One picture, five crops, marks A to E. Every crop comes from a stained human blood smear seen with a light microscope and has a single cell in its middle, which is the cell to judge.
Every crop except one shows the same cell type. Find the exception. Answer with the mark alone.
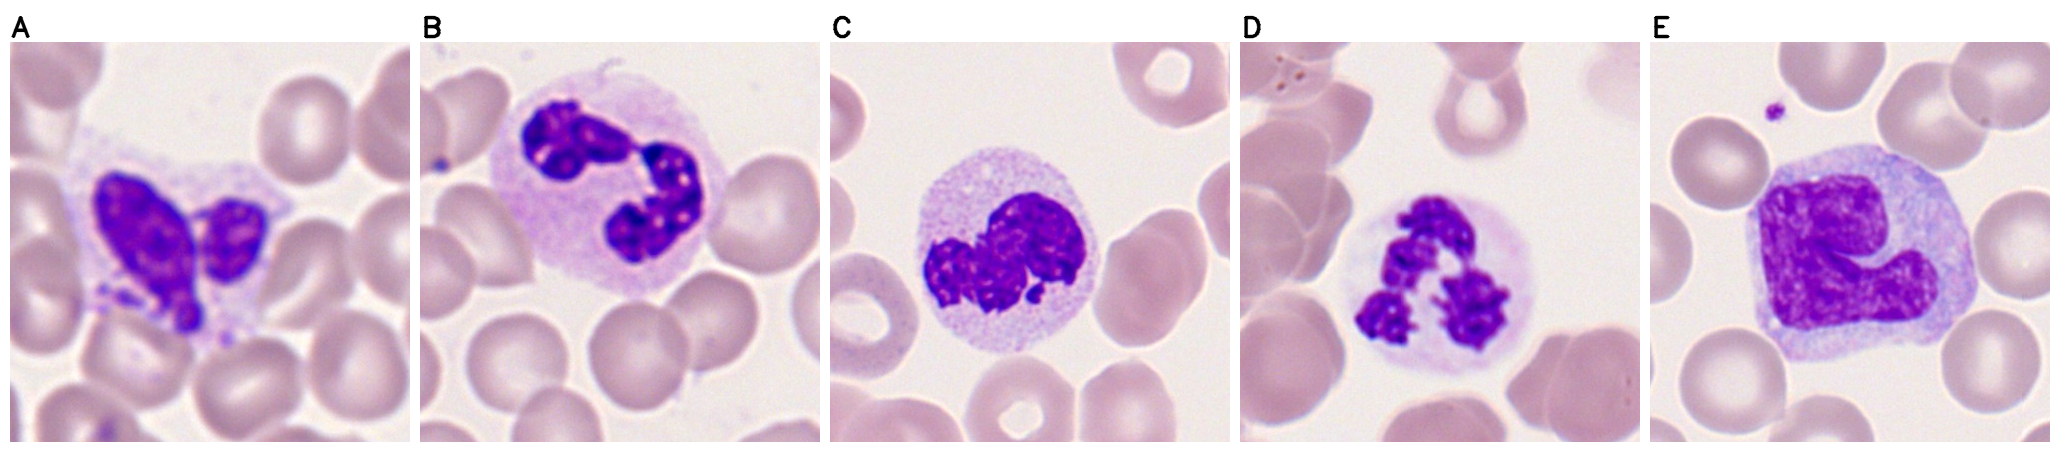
E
